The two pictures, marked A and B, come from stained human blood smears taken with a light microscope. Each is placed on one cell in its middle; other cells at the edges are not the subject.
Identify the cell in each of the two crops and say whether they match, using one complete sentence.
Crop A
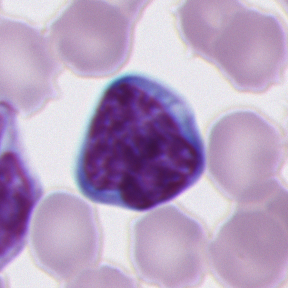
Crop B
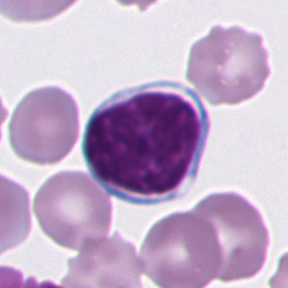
Yes, the middle cells in the two crops are typical lymphocytes.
